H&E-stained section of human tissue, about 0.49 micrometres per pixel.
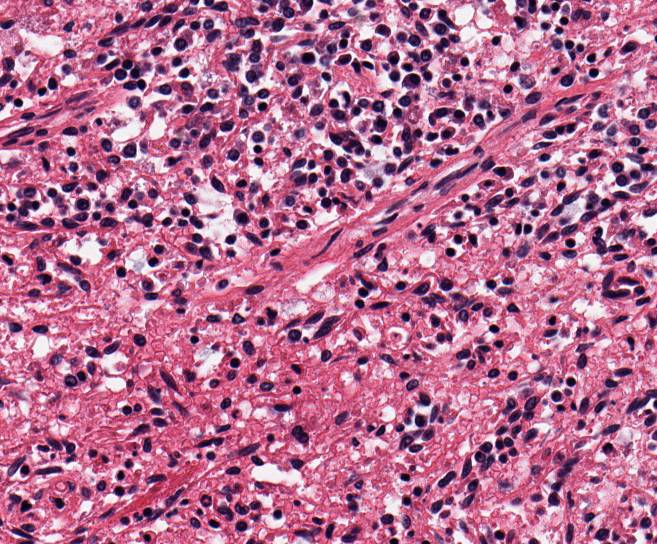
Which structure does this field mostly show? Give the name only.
red pulp of the spleen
